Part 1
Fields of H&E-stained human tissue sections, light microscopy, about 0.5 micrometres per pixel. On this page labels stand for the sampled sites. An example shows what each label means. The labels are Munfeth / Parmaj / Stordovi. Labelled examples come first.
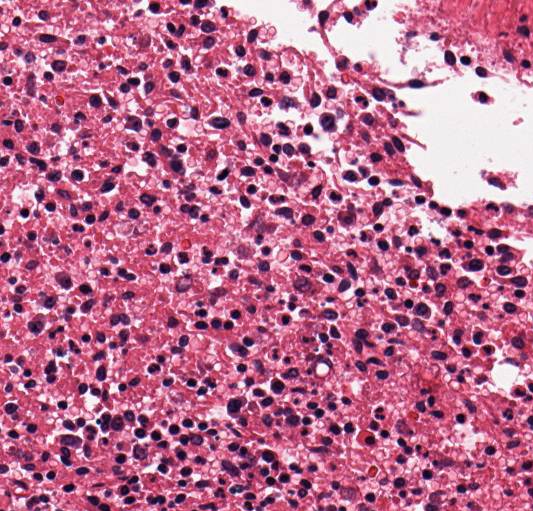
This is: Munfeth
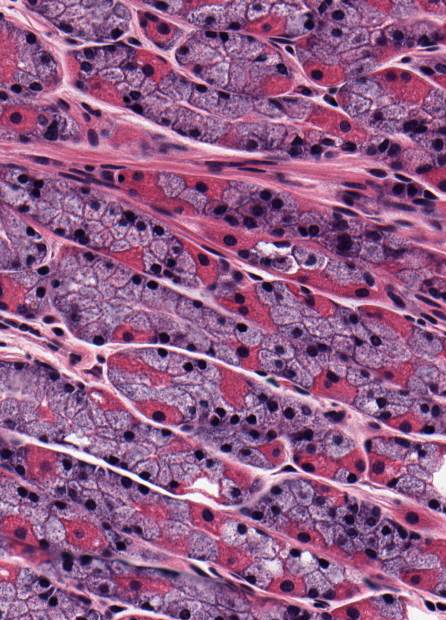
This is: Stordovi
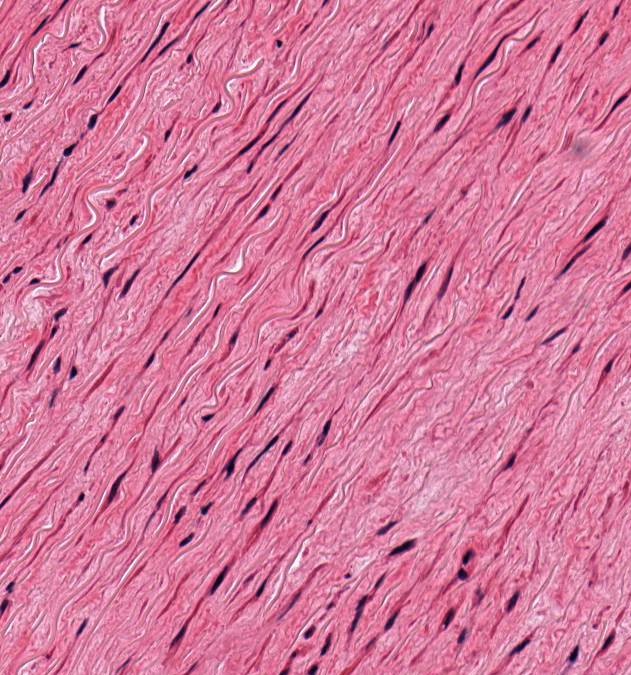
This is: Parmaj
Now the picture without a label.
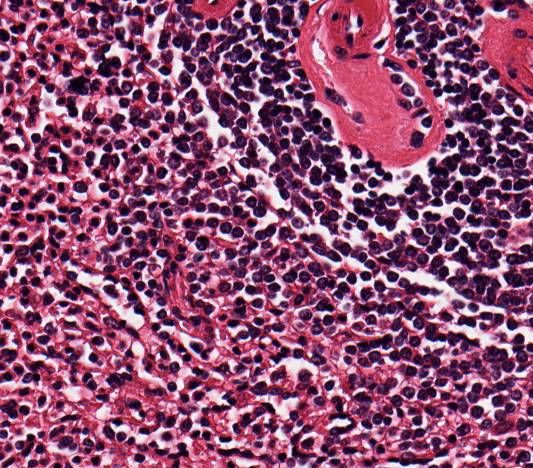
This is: Munfeth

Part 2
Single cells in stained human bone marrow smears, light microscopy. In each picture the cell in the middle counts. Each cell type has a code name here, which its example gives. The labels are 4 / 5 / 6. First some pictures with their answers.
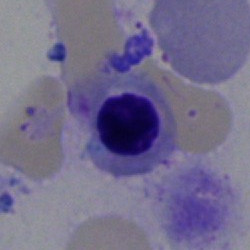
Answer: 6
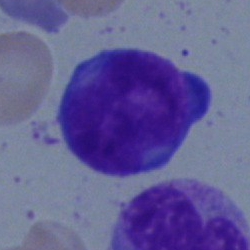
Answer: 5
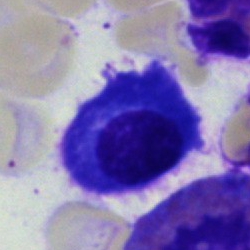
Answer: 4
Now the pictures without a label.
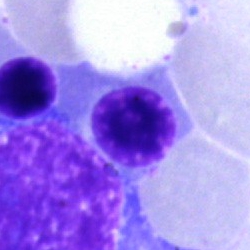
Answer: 6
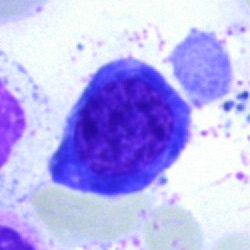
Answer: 6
